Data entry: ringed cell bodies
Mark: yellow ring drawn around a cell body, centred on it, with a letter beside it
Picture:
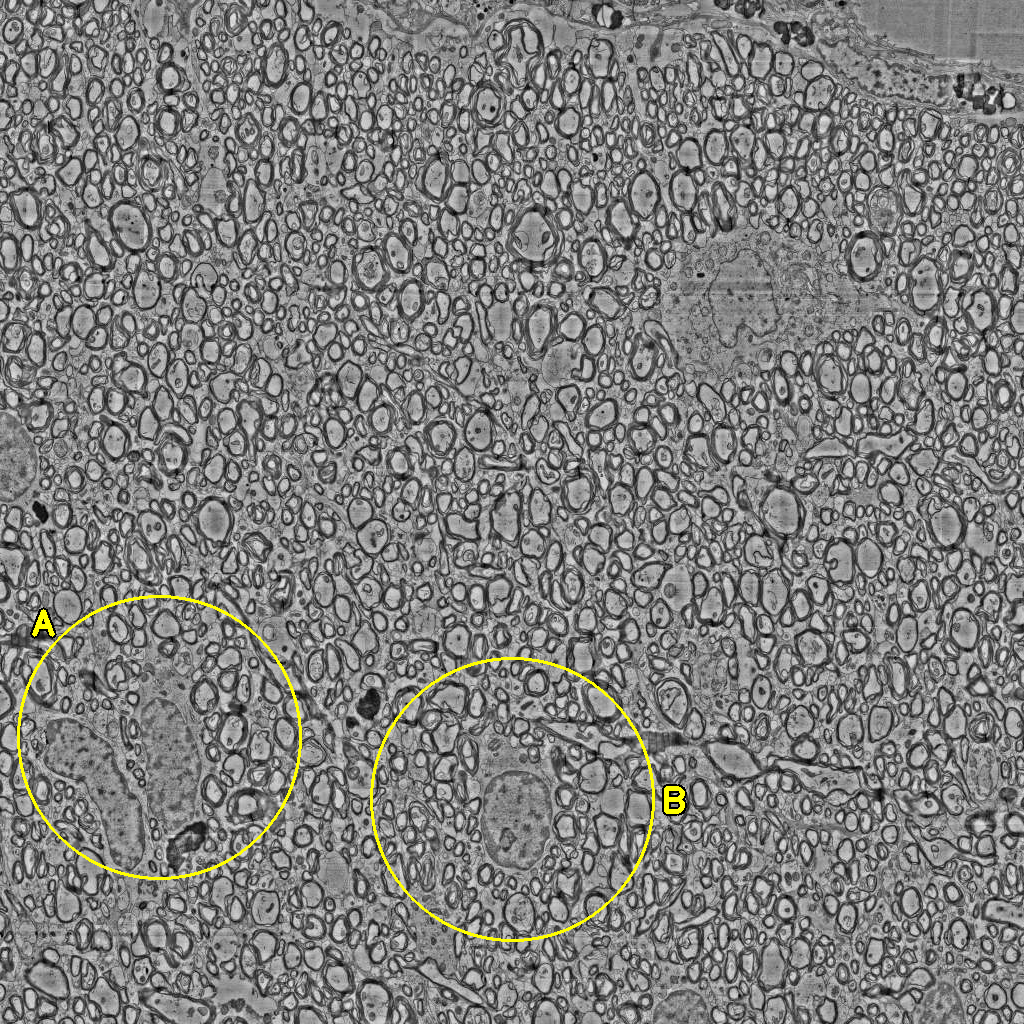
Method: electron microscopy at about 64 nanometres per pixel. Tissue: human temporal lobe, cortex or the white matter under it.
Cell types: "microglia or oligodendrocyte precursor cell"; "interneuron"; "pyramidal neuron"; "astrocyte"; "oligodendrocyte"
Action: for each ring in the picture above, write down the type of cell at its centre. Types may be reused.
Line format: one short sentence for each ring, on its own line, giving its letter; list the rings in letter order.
For ring A, the cell at the centre is an oligodendrocyte.
For ring B, the cell at the centre is an oligodendrocyte.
